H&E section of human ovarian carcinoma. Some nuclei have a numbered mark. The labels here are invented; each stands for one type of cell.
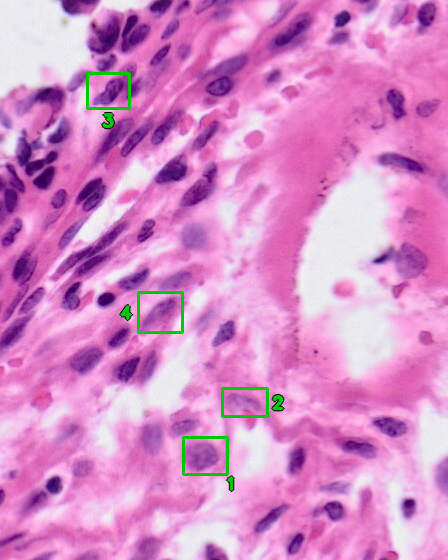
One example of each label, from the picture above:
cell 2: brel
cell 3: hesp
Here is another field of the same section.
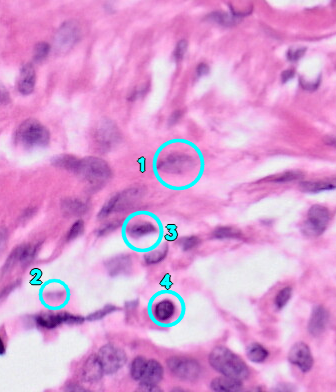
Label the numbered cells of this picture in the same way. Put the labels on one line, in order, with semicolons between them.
brel; brel; brel; hesp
